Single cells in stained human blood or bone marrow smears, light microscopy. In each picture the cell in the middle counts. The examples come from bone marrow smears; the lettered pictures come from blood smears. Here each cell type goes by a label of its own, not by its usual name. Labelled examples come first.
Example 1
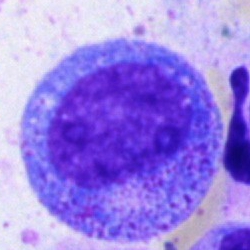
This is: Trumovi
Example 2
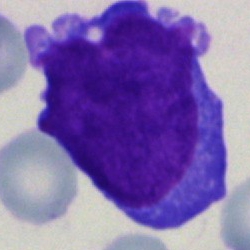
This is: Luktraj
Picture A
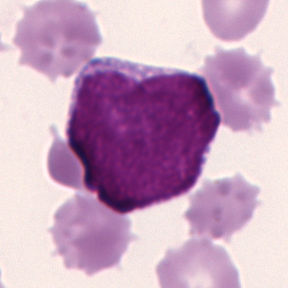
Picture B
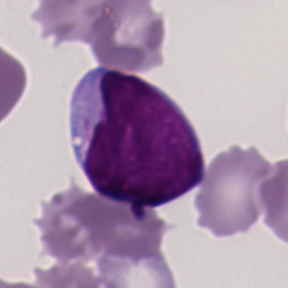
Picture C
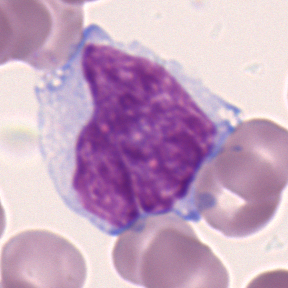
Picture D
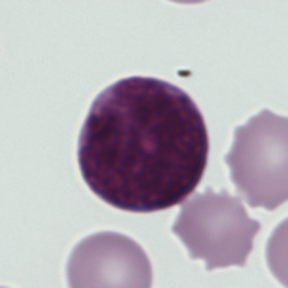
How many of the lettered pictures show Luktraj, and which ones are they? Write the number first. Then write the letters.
Count: 4 (A, B, C, D)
